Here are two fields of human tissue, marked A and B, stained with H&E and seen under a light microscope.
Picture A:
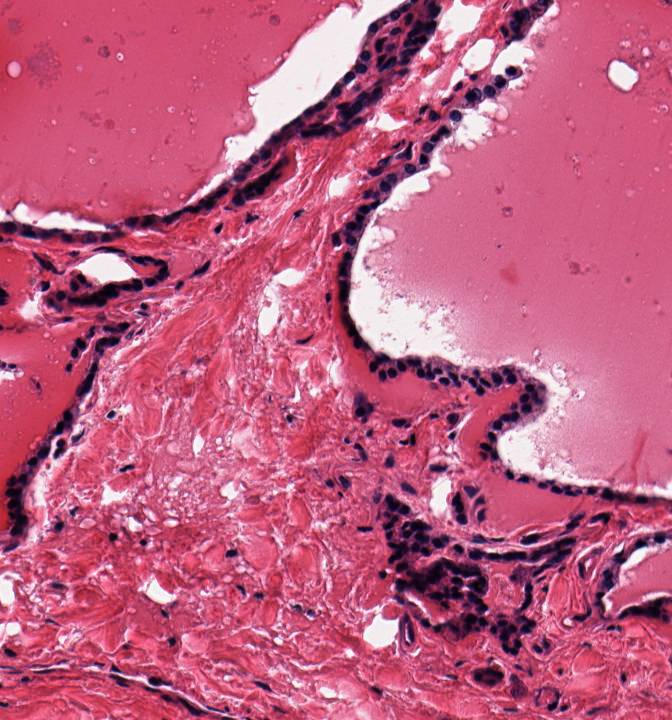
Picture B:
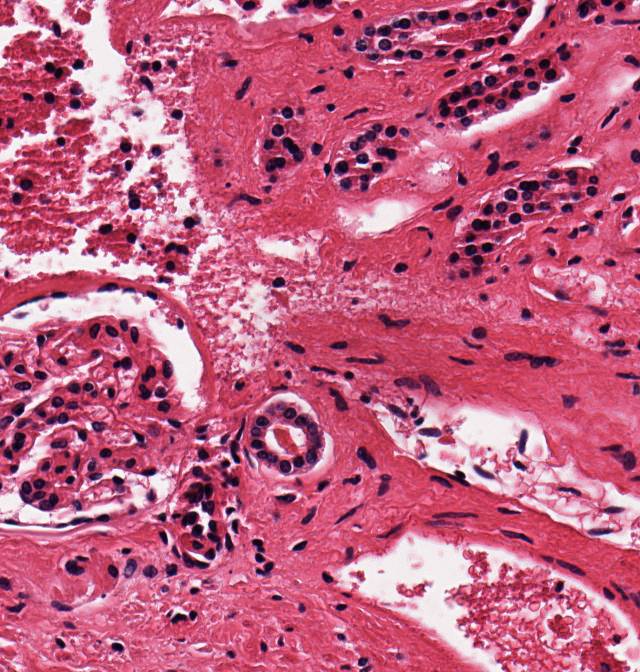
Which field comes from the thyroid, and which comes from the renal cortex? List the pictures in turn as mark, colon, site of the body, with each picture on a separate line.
A: thyroid
B: renal cortex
